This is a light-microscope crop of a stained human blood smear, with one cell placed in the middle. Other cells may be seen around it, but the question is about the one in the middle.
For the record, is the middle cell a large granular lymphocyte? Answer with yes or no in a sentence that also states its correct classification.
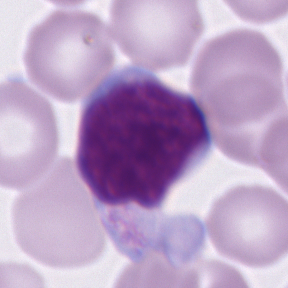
Yes, it is a large granular lymphocyte that is seen at the centre of the crop.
